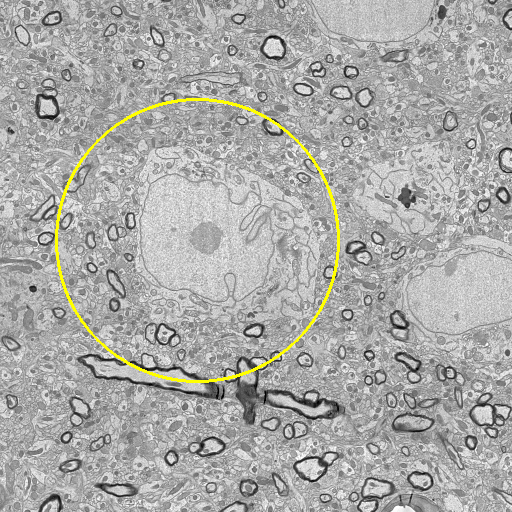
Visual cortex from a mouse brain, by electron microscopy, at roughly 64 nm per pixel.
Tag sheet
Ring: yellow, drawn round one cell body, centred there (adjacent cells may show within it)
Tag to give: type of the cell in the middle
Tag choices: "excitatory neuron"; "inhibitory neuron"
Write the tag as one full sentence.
I tag the cell centred in the yellow ring as an inhibitory neuron in this picture.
